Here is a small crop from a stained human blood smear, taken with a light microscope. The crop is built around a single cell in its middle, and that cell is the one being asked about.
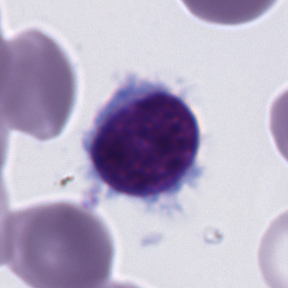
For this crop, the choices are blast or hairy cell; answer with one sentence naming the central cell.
In this crop, the cell at the very middle is a hairy cell.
